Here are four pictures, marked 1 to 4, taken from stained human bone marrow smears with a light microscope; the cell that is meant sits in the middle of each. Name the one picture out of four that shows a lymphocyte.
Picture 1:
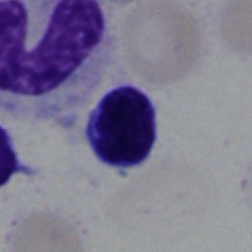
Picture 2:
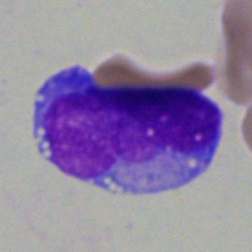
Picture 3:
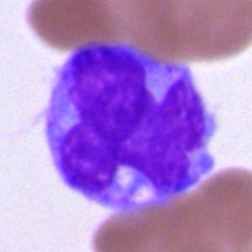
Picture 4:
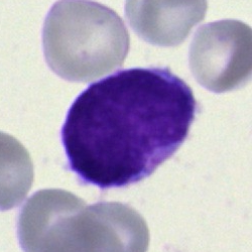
1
